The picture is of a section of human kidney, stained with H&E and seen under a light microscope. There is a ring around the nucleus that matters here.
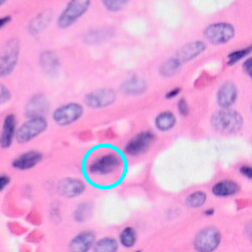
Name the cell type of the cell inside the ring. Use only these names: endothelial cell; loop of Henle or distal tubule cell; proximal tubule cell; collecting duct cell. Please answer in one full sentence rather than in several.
By its classification, the cell inside the ring is a collecting duct cell.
